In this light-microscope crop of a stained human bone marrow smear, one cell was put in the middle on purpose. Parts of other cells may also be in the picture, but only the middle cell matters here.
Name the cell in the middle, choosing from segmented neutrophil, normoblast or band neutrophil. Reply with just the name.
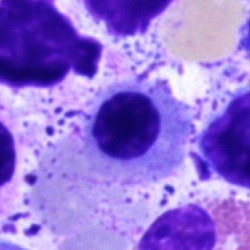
normoblast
